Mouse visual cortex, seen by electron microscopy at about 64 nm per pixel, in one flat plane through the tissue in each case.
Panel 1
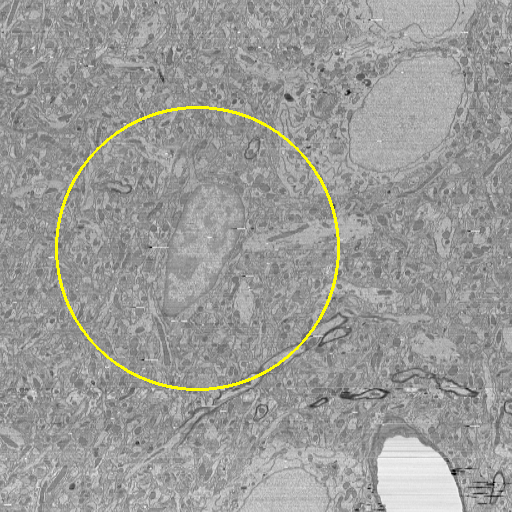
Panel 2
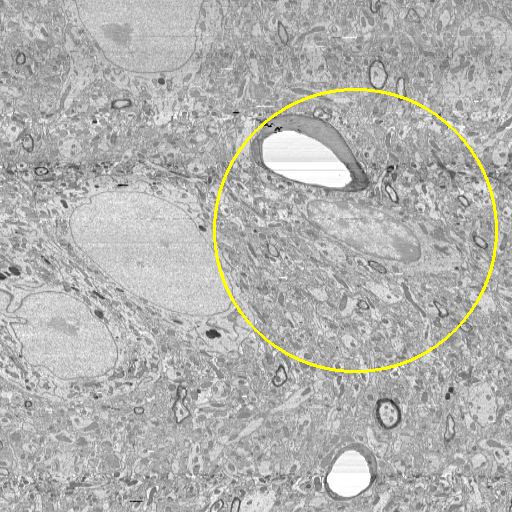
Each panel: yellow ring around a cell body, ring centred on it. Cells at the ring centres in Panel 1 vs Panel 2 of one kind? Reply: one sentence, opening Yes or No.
Yes, Panel 1 and Panel 2 have cells of one kind at the ring centres.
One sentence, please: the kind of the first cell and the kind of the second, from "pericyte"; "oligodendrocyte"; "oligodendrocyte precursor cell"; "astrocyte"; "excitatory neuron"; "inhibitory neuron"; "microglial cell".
Both pictures show an oligodendrocyte at the centre of the ring.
